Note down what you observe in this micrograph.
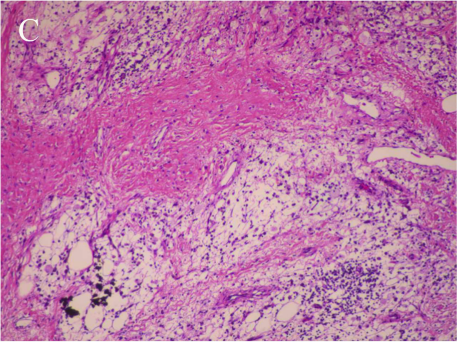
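Fibroinflammatory tissue without recognisable tumour, with inflammatory cell infiltration. Broad bands of pink collagenous fibrous tissue run diagonally across the field. Between the bands lie loose areas containing many small round cells with dark, compact nuclei and scant cytoplasm, scattered singly and gathered into denser clusters. Small clumps of black pigment lie near the lower left. No sheets of large atypical cells are seen.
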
